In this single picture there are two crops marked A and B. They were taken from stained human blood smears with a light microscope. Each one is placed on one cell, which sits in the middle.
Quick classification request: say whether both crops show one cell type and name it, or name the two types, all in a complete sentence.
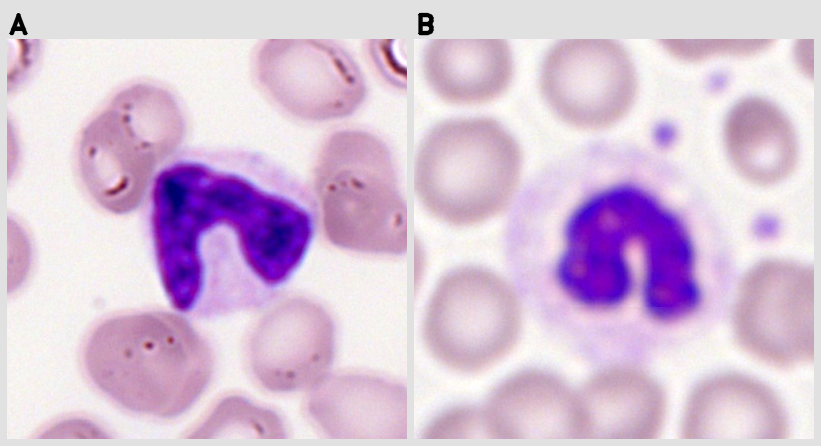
Yes, both crops show band neutrophils, one in each.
